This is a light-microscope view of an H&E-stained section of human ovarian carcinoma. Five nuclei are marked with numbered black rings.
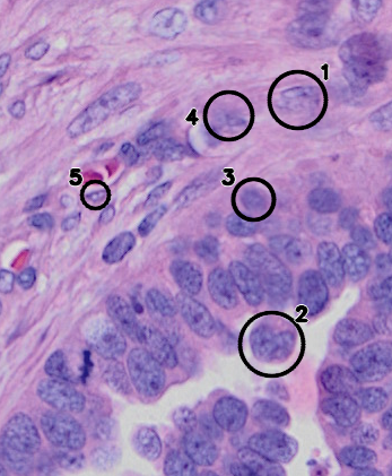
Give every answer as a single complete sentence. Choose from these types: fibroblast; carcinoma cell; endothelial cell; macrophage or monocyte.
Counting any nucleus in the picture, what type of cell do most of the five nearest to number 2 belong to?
Around number 2, most of the five nearest nuclei are those of carcinoma cells.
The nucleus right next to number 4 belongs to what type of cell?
It is a macrophage or monocyte whose nucleus is nearest to number 4.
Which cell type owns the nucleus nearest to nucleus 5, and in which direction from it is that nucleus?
Lying below and to the right of nucleus 5, the nearest nucleus is that of a fibroblast.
